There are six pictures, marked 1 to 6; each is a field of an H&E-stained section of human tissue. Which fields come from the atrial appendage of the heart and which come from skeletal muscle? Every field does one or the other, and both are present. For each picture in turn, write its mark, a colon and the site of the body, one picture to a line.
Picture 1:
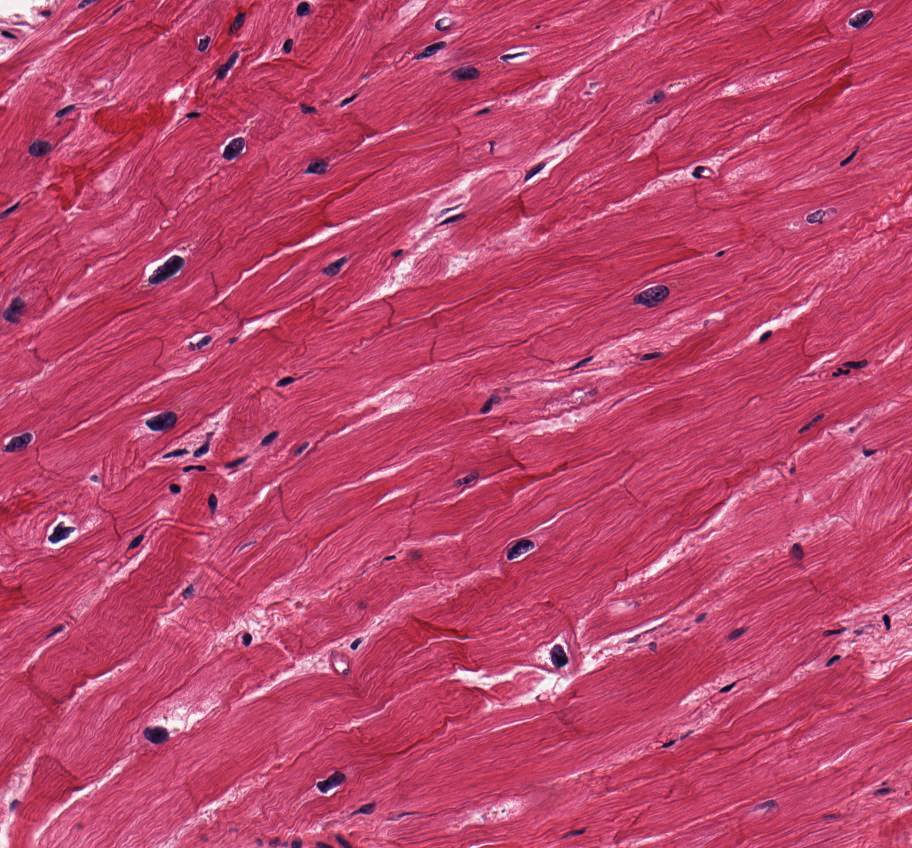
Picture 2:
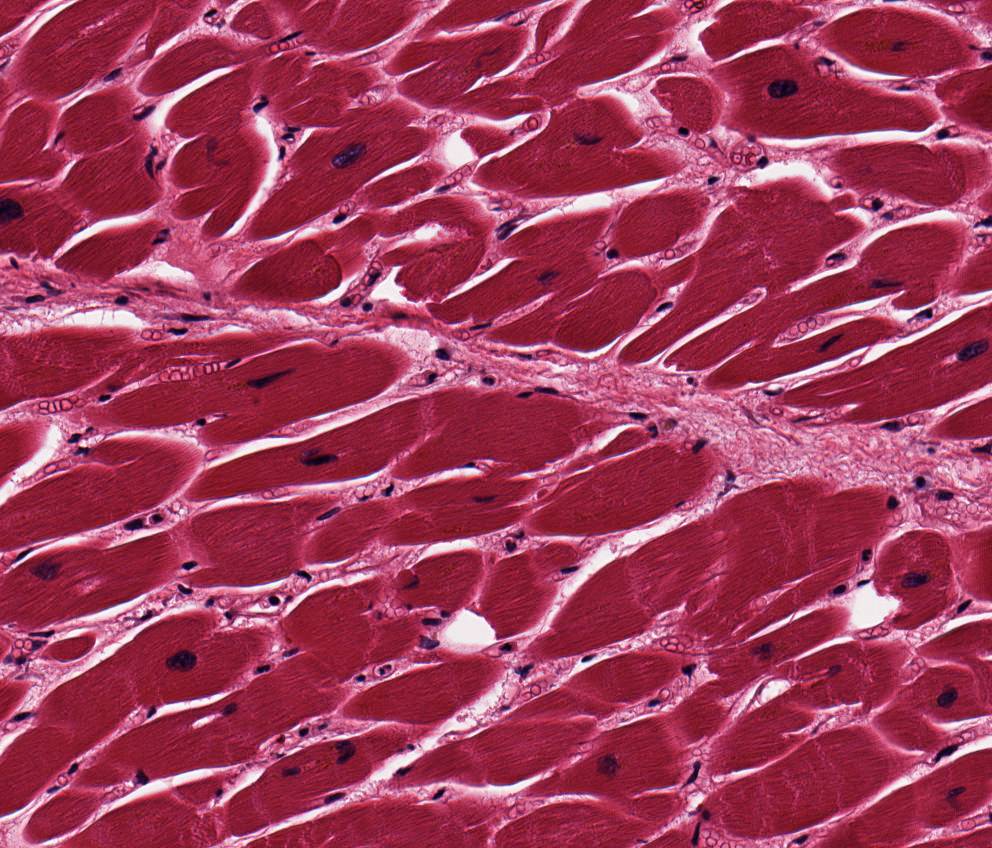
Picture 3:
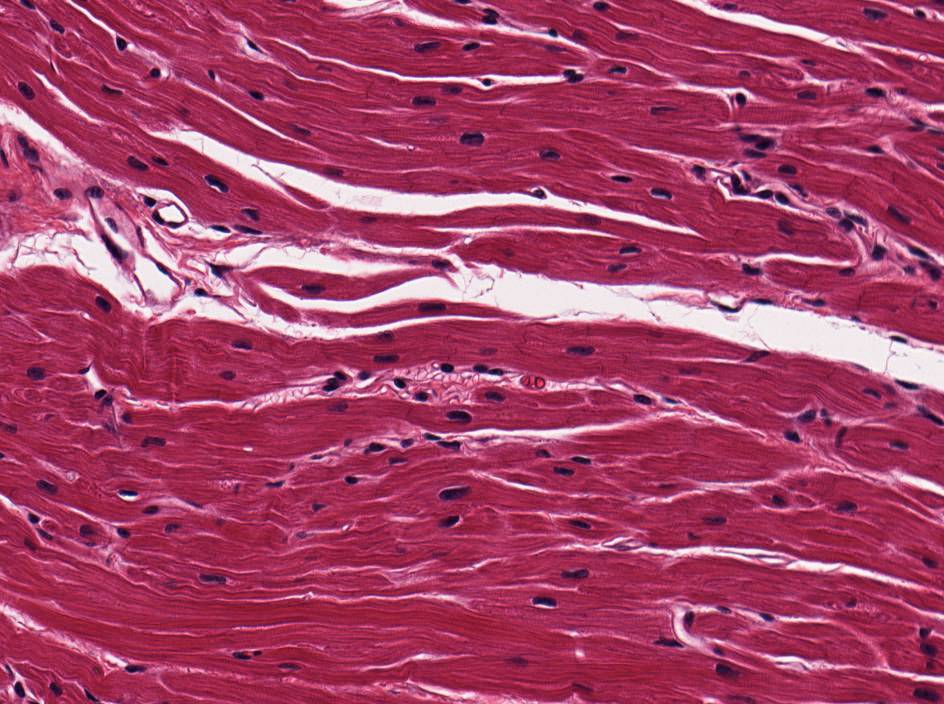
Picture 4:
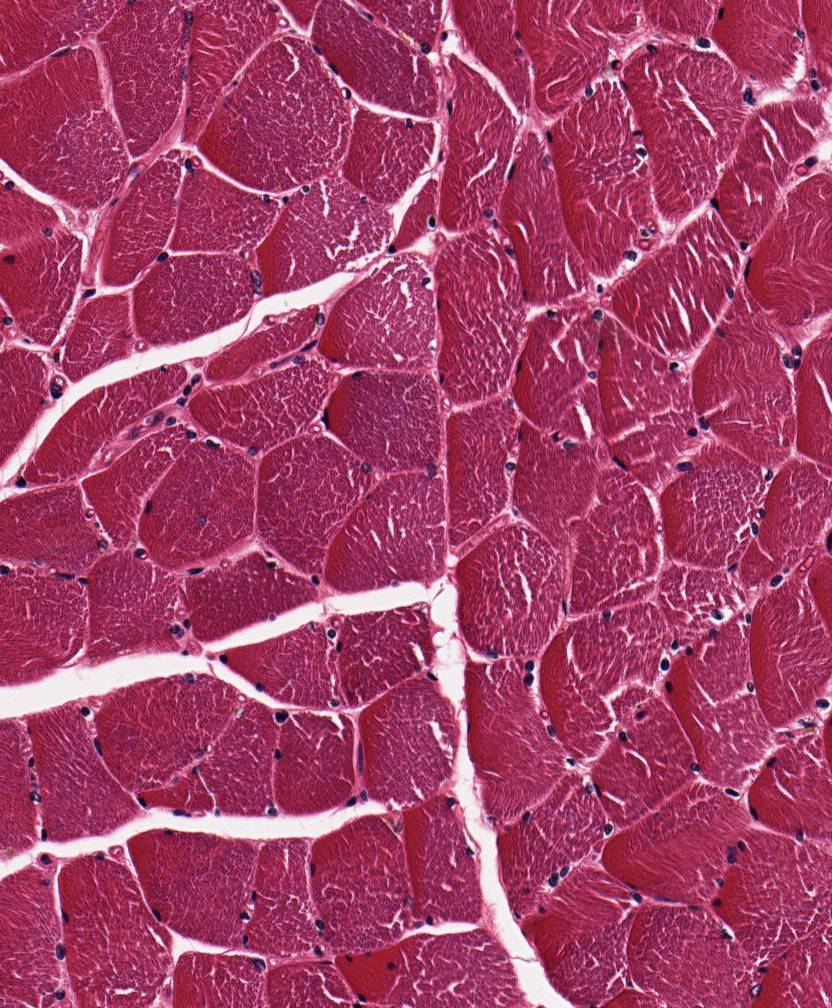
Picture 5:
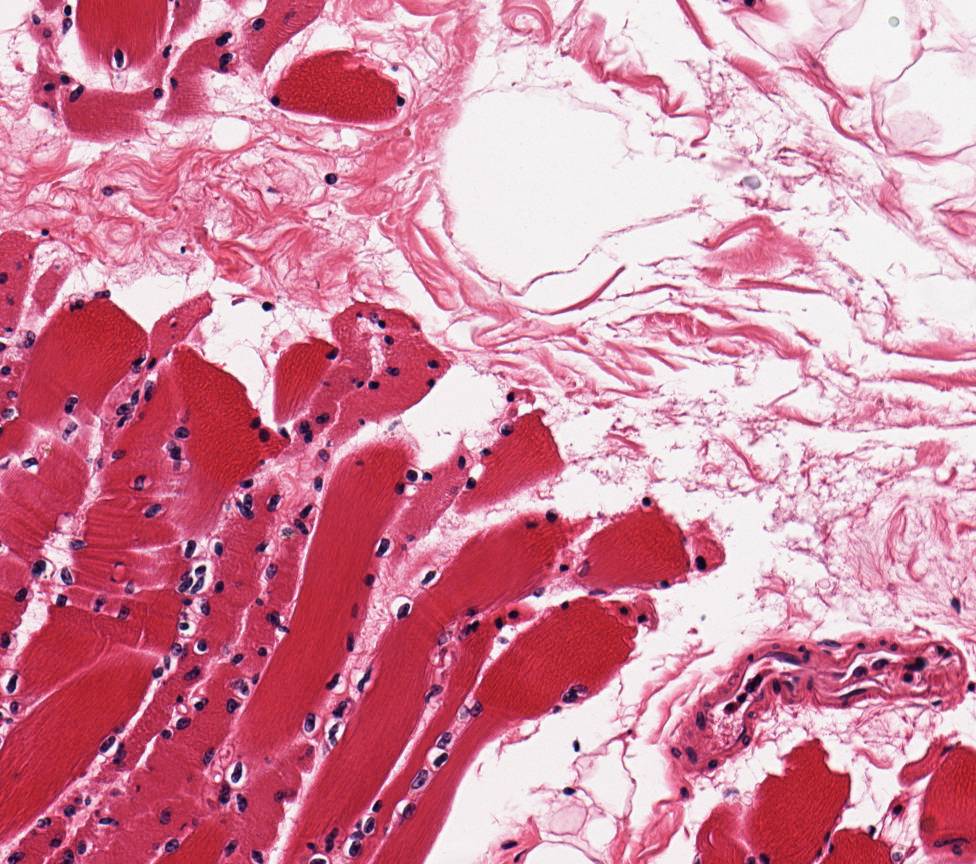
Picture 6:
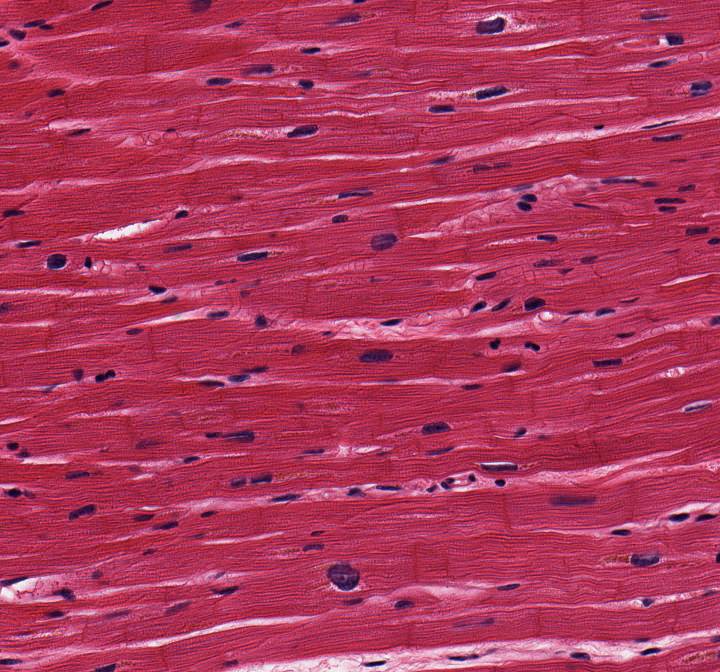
1: atrial appendage of the heart
2: atrial appendage of the heart
3: atrial appendage of the heart
4: skeletal muscle
5: skeletal muscle
6: atrial appendage of the heart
